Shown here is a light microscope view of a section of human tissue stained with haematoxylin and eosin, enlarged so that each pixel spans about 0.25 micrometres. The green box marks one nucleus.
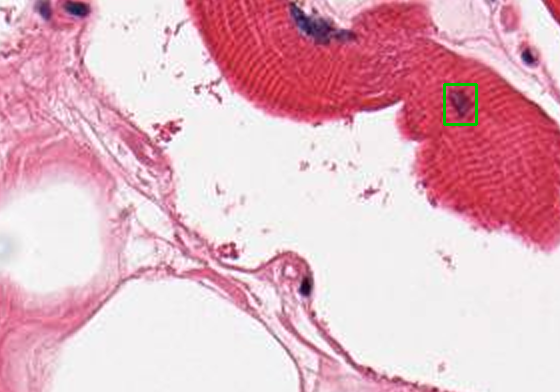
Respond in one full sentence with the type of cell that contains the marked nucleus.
The marked nucleus forms part of a skeletal muscle fibre.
